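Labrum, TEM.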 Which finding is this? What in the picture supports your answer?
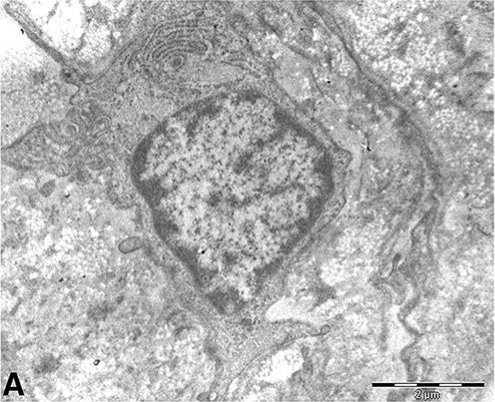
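The nucleus is mostly pale with finely dispersed chromatin. A thin dark band of chromatin lines the nuclear envelope. The answer: diffuse with small condensed areas near the nuclear membrane.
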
